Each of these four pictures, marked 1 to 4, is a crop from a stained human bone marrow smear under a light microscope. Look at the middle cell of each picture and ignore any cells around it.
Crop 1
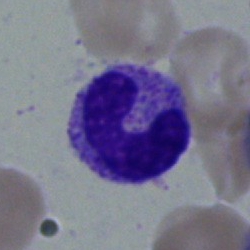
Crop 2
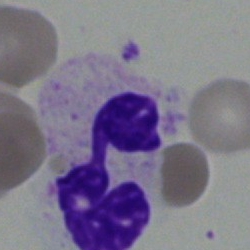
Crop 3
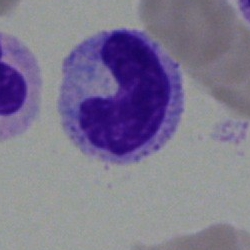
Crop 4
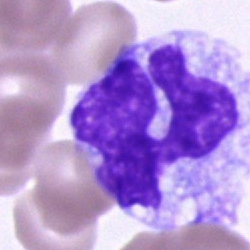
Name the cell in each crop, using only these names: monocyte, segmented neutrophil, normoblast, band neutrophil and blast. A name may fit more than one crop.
1: band neutrophil
2: segmented neutrophil
3: band neutrophil
4: monocyte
